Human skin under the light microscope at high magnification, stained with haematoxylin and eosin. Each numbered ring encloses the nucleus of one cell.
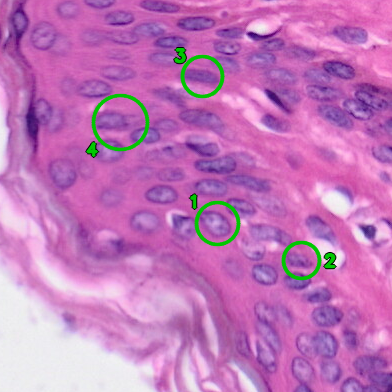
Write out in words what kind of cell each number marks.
Cells 1 and 4 are suprabasal keratinocytes. Cells 2 and 3 are basal keratinocytes.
